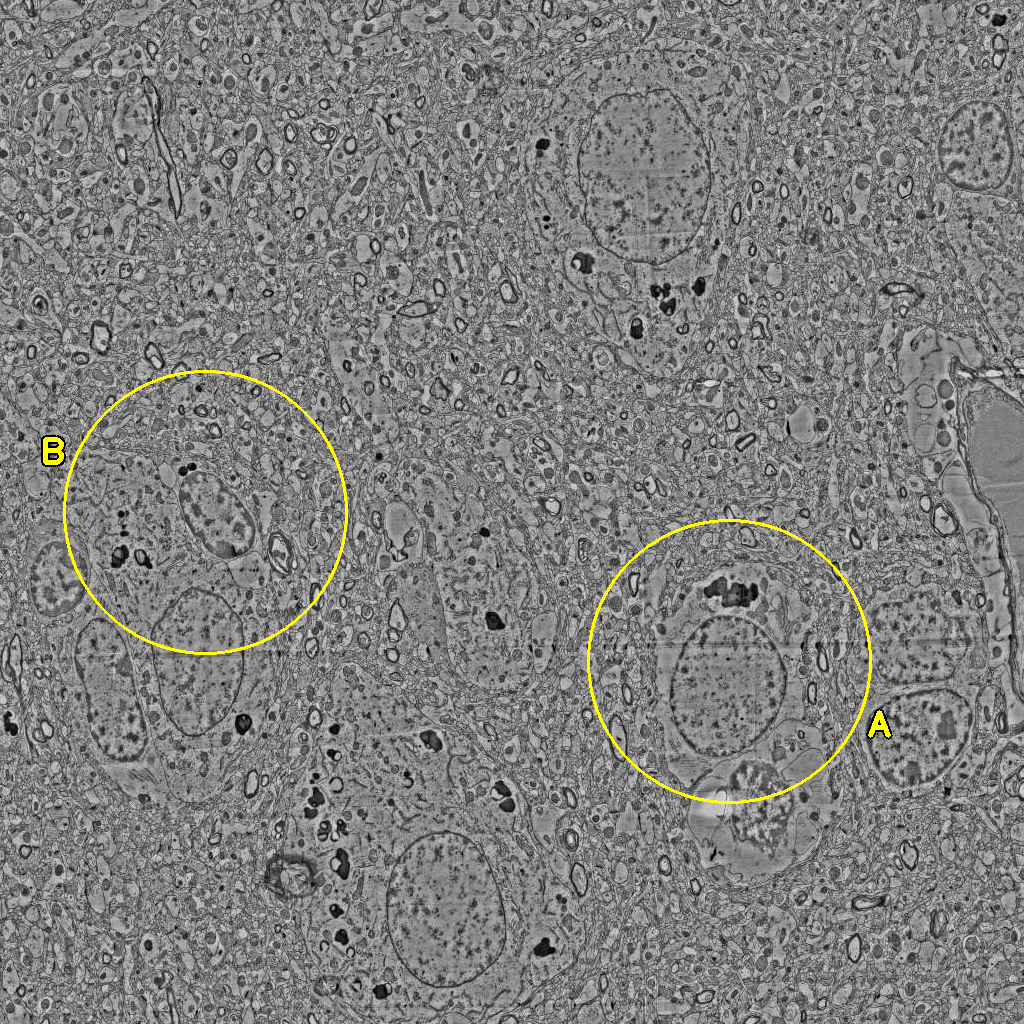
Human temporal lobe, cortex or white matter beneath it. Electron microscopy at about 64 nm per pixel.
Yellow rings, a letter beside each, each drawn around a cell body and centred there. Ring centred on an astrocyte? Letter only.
A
